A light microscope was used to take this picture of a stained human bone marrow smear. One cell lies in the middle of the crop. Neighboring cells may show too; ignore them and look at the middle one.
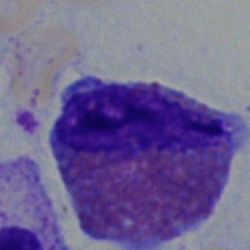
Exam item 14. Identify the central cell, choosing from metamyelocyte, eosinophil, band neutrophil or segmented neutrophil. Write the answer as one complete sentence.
The crop shows an eosinophil in its centre.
